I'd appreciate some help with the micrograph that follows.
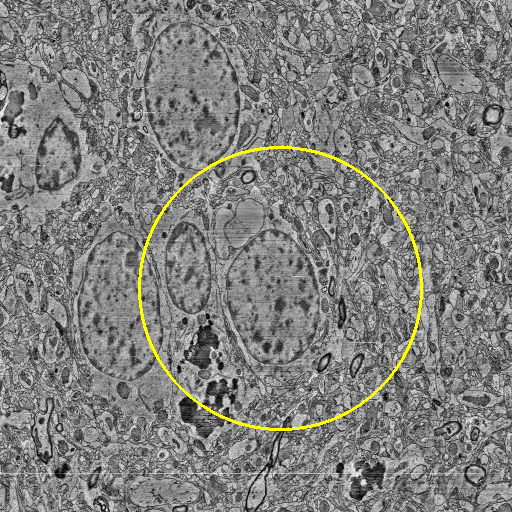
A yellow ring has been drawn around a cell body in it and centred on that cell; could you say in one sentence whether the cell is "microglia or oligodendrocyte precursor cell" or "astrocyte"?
It is an astrocyte at the centre of the ring.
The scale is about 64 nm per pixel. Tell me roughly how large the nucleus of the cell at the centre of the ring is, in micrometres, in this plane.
About 9 by 6 micrometres; in this plane the nucleus is clearly longer than it is wide.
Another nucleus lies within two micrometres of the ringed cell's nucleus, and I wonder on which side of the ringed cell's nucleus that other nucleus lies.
The second nucleus is to the left of it.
